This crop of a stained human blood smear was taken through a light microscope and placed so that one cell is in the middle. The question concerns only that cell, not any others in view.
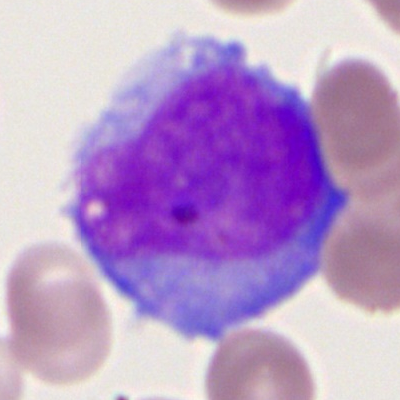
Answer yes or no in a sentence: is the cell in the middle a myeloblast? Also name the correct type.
Yes, as for the central cell, it is a myeloblast.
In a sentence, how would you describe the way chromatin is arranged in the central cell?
The chromatin is delicate and fine, lacking coarse clumping entirely.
